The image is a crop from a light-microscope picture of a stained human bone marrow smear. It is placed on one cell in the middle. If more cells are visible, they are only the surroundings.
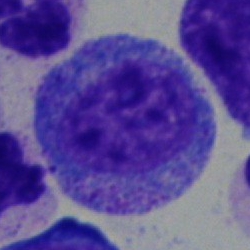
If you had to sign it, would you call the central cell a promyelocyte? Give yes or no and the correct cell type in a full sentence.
Yes, the cell in the middle is rightly called a promyelocyte.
